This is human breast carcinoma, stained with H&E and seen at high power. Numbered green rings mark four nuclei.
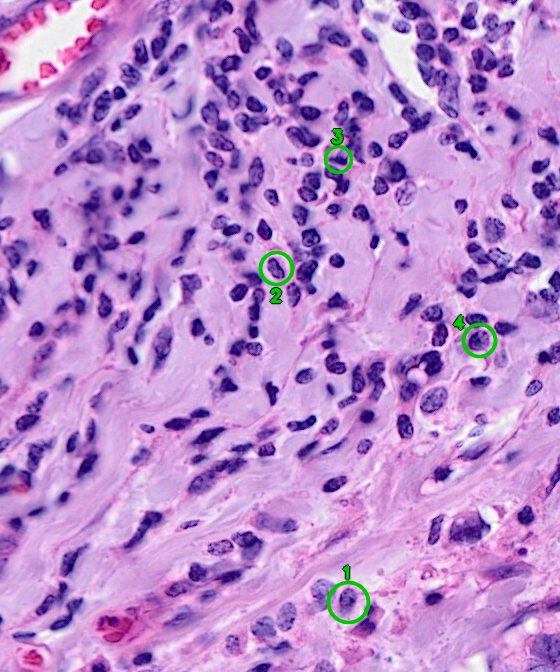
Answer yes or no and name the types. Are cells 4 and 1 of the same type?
No, cell 4 is a lymphocyte, and cell 1 is a mast cell.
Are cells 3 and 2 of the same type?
Yes, the two cells, 3 and 2, are both lymphocytes.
